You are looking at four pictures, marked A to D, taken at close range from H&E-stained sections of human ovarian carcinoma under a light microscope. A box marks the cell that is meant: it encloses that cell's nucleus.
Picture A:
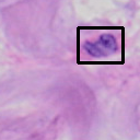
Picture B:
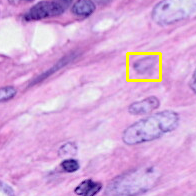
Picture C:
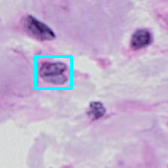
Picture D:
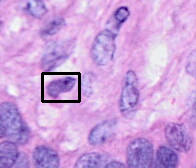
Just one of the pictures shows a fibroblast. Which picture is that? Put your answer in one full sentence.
The fibroblast is the one in picture B.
